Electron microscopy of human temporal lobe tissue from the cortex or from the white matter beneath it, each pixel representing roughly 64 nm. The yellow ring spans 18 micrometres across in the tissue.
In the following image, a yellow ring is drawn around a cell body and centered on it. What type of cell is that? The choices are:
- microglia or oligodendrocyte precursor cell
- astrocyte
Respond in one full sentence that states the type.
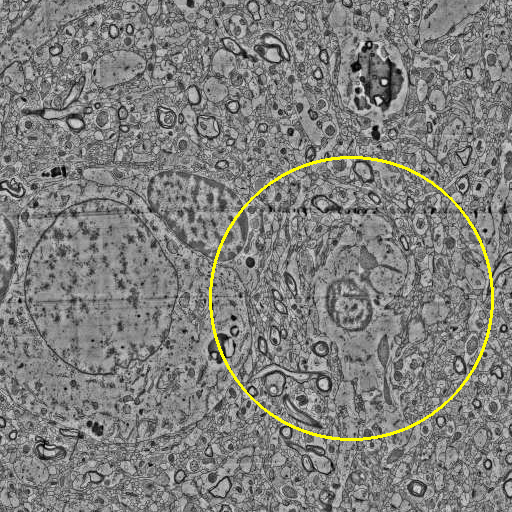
The cell at the center of the yellow ring in the image is an astrocyte.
